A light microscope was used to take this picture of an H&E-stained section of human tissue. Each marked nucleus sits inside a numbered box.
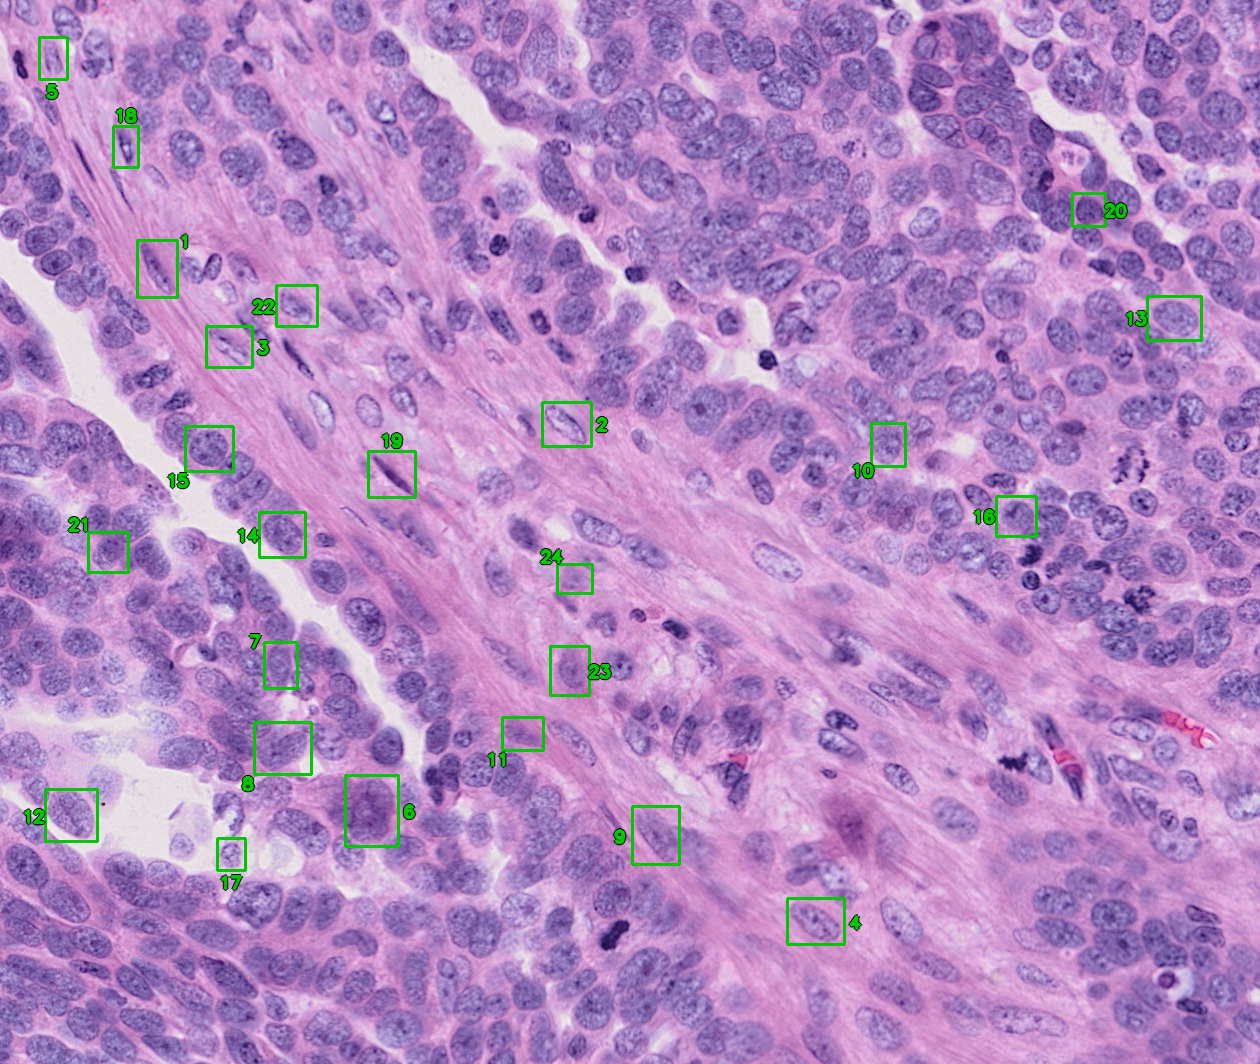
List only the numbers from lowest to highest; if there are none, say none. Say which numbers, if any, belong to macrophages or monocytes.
17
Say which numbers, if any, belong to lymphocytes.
none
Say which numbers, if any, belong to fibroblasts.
1, 2, 3, 4, 5, 9, 11, 18, 19, 22, 23, 24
